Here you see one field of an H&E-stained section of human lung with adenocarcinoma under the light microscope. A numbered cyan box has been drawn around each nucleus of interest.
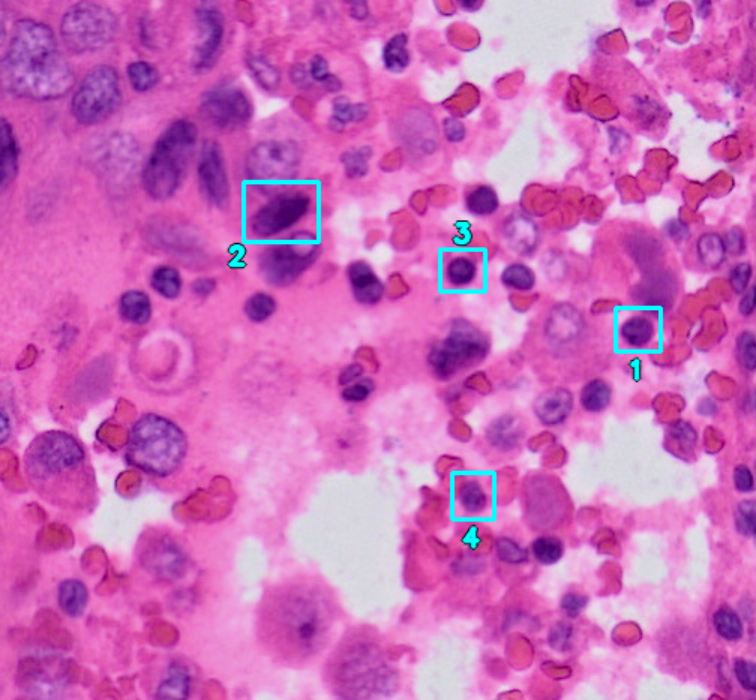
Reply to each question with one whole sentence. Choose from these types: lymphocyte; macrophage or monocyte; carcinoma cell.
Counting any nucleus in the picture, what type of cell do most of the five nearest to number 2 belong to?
Of the five nuclei nearest to number 2, most belong to carcinoma cells.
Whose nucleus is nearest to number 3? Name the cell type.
The cell nearest to number 3 is a lymphocyte.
